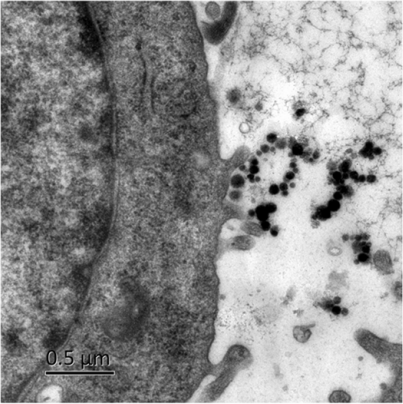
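This transmission electron micrograph shows the edge of a cell, whose finely granular, moderately dense interior fills the left part of the field. A thin curved membrane line runs through this dense region. To the right, the cell border faces a pale, loosely fibrillar space with a few small membrane projections and vesicle-like profiles. Clusters of very dark, round, electron-dense particles lie in this pale region close to the cell surface.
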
